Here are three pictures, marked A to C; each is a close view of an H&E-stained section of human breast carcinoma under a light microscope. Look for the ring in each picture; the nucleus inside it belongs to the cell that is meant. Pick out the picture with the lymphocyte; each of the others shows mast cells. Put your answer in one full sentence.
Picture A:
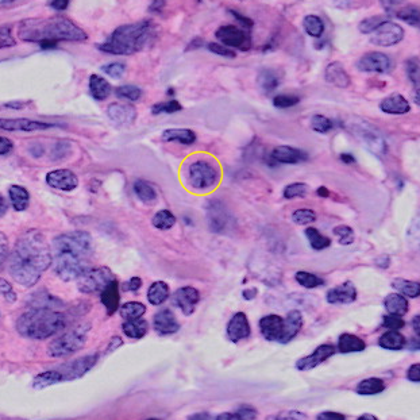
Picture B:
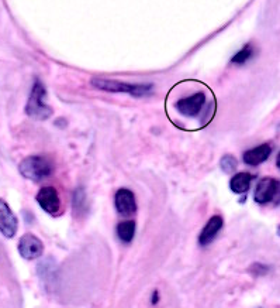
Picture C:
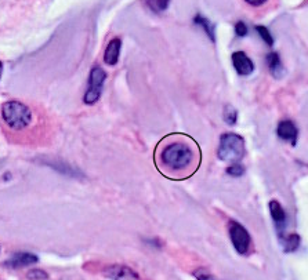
The cell in picture B is the lymphocyte.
